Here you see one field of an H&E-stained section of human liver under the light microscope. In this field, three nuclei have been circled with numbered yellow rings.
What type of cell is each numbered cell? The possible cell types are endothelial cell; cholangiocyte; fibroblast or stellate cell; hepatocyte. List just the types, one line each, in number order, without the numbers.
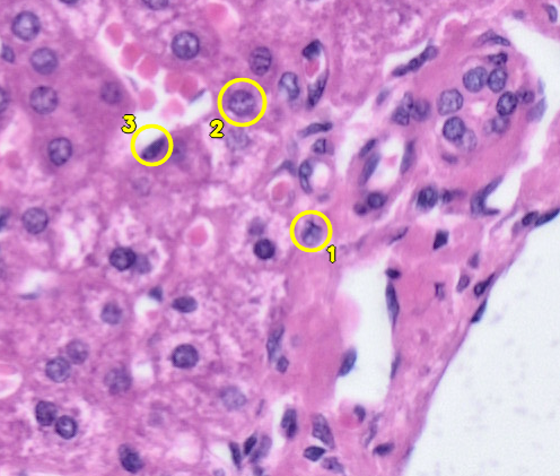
fibroblast or stellate cell
hepatocyte
fibroblast or stellate cell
